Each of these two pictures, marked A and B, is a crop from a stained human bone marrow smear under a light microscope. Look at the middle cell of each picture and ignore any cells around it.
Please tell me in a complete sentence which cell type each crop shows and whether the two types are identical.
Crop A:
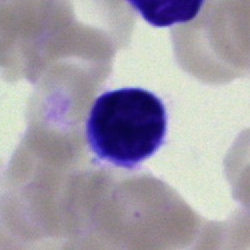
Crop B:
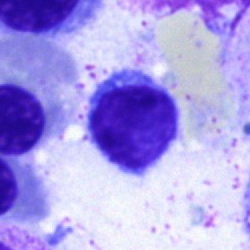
Yes, the two crops share the same answer, lymphocytes.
